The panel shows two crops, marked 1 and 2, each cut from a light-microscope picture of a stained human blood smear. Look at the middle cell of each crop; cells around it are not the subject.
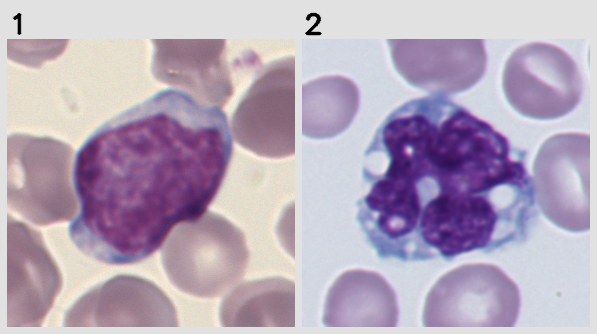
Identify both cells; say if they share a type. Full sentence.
No, crop 1 represents a blast, and crop 2 represents a monocyte.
